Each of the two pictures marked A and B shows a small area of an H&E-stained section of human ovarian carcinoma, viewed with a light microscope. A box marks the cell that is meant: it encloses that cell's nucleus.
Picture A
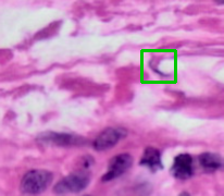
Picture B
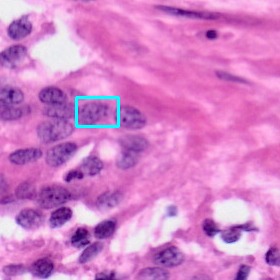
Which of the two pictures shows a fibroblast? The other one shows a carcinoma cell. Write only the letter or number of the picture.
A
